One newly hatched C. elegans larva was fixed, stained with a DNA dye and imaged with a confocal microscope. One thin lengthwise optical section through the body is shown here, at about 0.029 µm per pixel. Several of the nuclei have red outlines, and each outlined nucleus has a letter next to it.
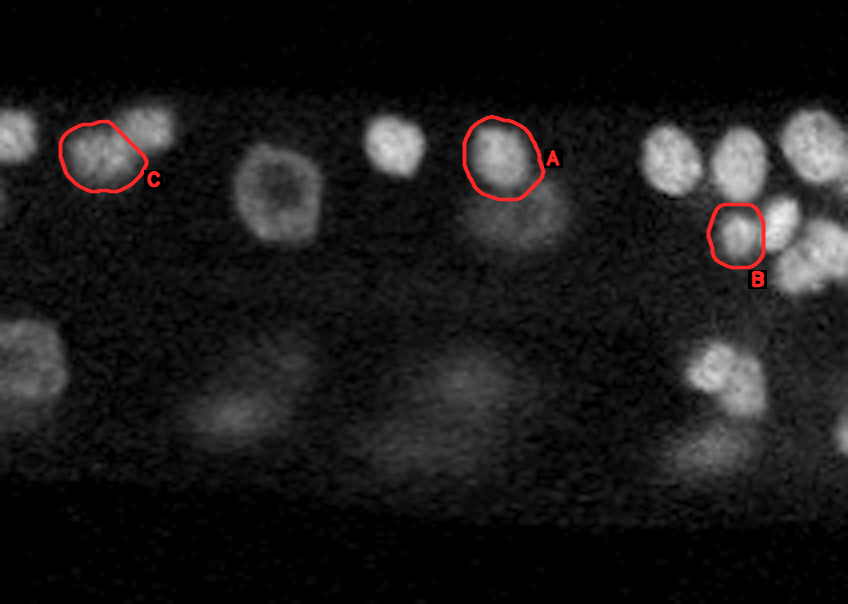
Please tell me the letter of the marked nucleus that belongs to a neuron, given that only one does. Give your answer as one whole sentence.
A is from a neuron.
